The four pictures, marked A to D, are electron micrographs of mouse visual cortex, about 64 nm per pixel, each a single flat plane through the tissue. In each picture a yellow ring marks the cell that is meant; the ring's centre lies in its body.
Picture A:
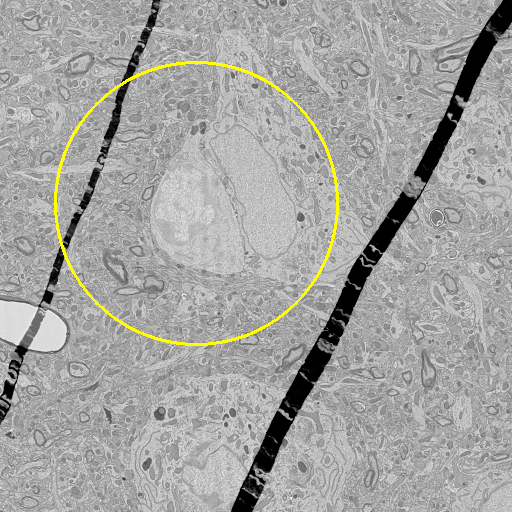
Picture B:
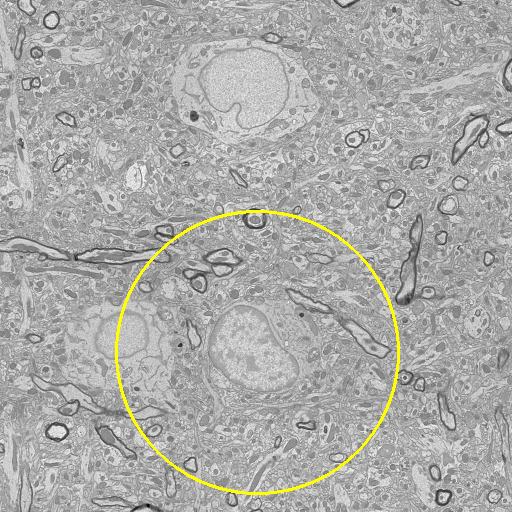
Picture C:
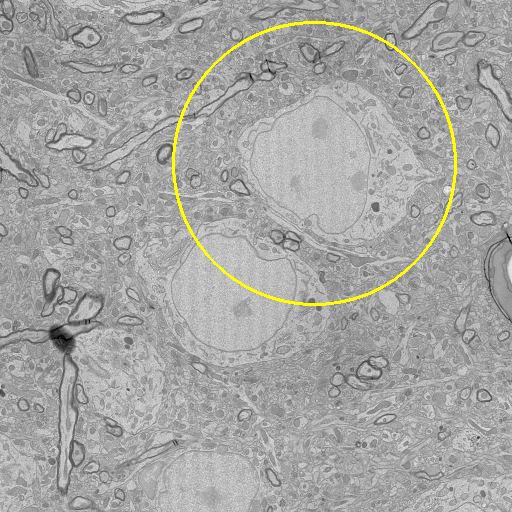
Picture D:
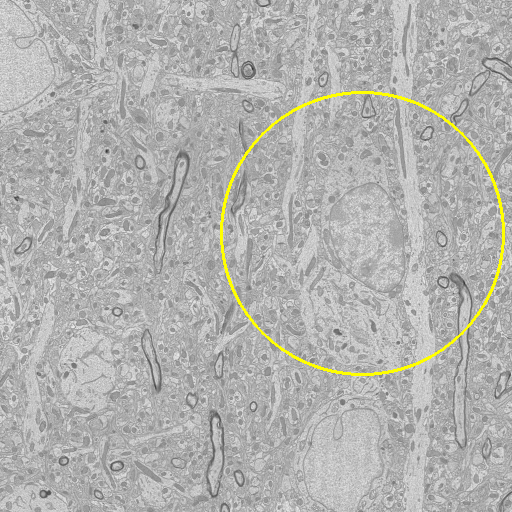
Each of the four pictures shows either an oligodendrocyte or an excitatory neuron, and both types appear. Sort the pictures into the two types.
Pictures A, B and D show oligodendrocytes; picture C shows an excitatory neuron.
